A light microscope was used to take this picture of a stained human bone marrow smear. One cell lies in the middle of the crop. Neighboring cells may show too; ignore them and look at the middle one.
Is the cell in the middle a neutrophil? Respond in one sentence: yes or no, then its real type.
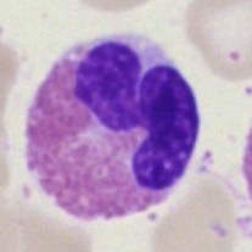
No, the cell of interest here is an eosinophil and not a neutrophil.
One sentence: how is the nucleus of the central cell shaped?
Two or more lobes make up the nucleus of this cell.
